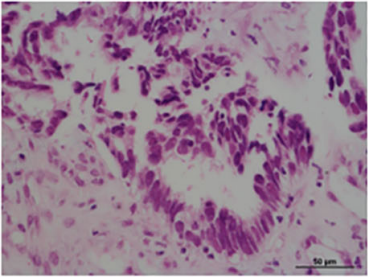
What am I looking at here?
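This is tumor tissue in which tall, column-shaped cells line gland-like spaces with pale, open centers. The nuclei are elongated and dark purple. The cytoplasm is pale pink. A loose, pale pink stroma lies between the lined spaces. The cells are arranged in rows along curved borders, giving the tissue a gland-forming pattern.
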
